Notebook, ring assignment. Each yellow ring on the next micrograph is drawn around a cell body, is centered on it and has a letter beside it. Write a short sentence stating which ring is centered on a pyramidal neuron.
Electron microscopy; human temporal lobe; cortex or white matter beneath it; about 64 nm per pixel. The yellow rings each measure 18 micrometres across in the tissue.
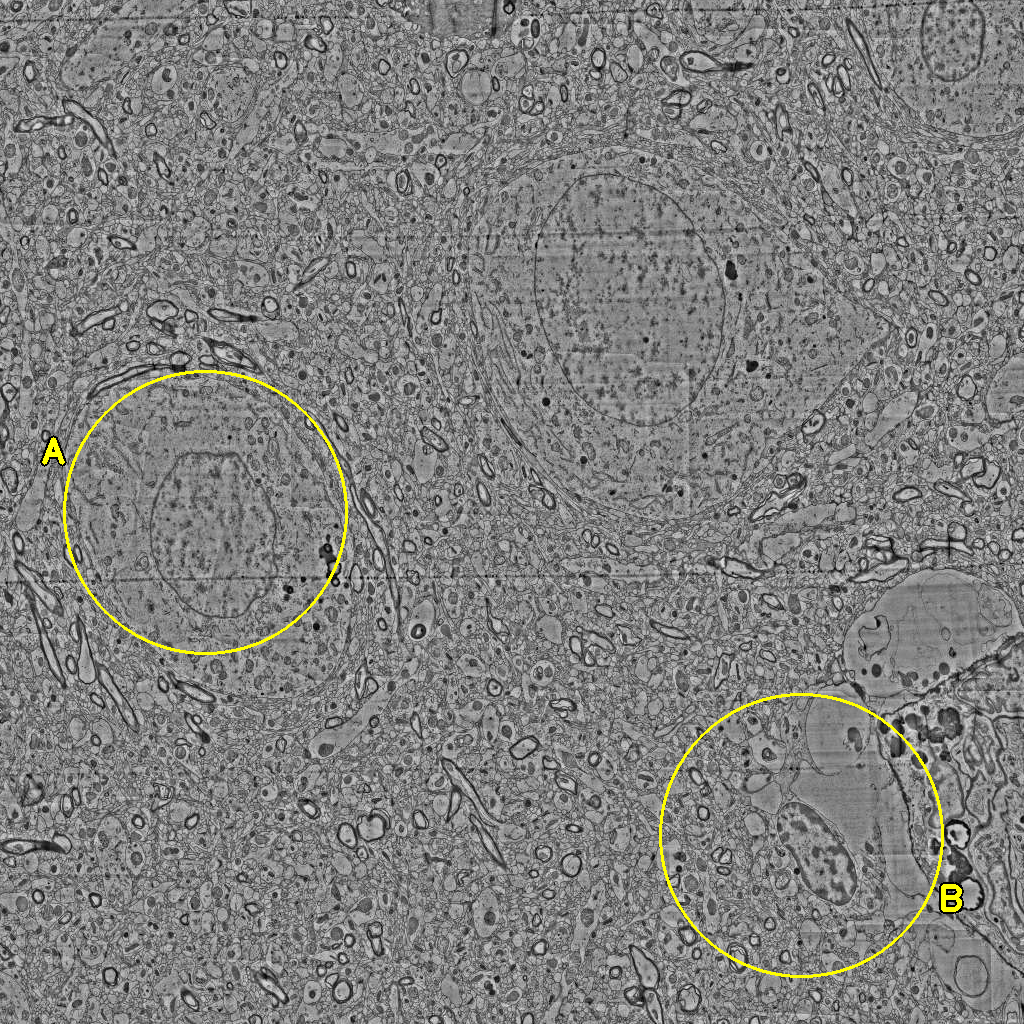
Ring A is centered on it.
